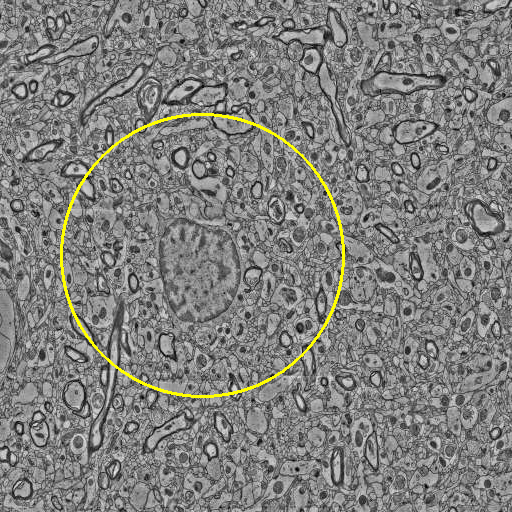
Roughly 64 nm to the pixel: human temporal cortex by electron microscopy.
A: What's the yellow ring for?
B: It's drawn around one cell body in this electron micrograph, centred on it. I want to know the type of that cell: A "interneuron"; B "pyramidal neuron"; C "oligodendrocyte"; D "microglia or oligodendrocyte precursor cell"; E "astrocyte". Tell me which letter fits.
C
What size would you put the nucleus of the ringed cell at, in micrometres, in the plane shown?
The nucleus works out at approximately 7 by 5 micrometres in this plane.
